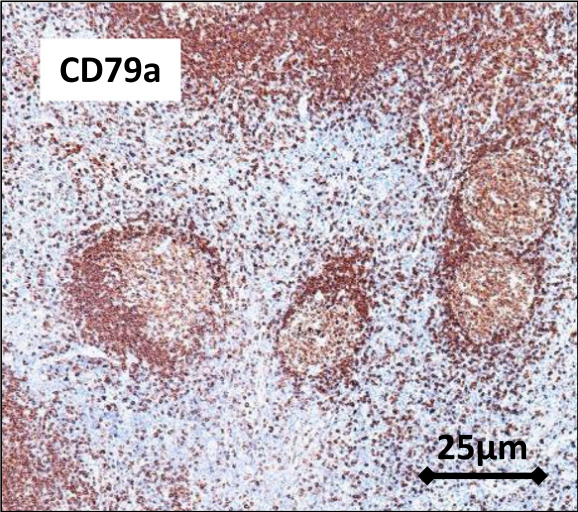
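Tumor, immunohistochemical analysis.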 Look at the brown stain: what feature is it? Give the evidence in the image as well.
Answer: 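Rounded nodules are stained brown. The nodules have a darker brown rim around a paler brown center.
Answer: B follicles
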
